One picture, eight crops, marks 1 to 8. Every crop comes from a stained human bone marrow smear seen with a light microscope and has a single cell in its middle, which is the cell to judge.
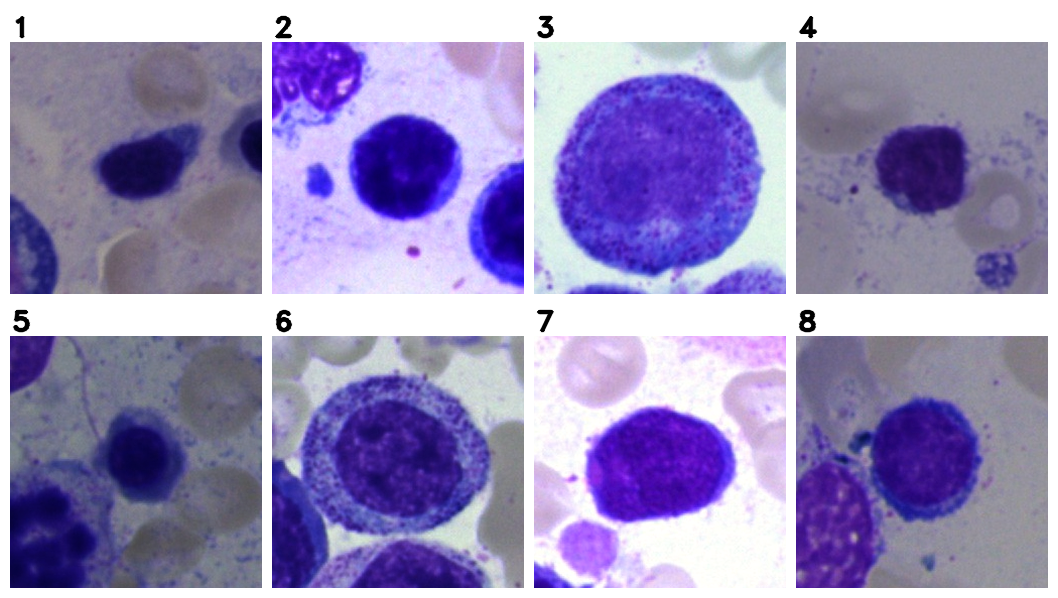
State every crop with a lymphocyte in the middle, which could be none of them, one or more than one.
1, 2, 4, 8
